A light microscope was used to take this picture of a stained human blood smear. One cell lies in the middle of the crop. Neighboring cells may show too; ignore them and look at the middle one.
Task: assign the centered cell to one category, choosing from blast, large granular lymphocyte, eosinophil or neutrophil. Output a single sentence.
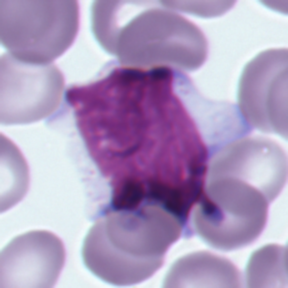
The cell the crop is centered on is a large granular lymphocyte.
